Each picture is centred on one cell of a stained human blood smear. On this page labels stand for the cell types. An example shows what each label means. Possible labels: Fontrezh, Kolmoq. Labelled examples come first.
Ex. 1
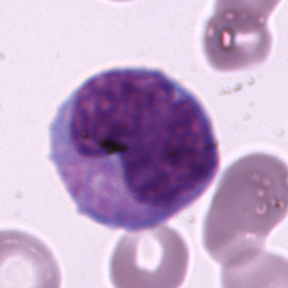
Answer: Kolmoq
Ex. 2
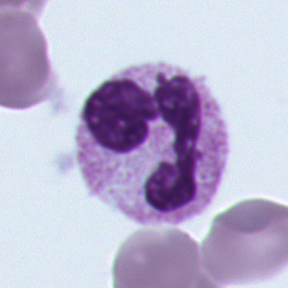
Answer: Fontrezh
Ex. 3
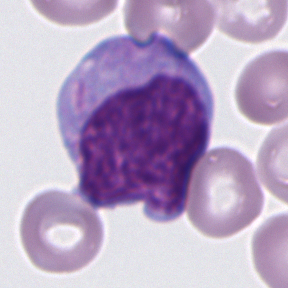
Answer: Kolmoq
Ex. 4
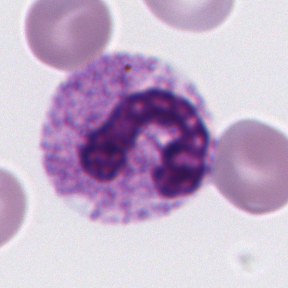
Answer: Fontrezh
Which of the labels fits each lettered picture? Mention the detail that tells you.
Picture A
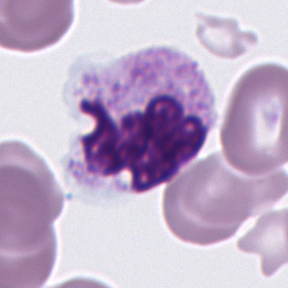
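Fontrezh. The cytoplasm is abundant and pale, with a faint grey-blue tinge at its edge.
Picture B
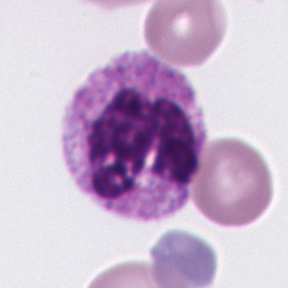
Fontrezh. The nucleus is divided into separate lobes rather than forming one mass.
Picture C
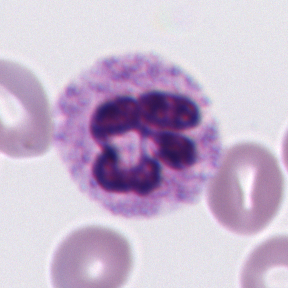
Fontrezh. The nucleus is divided into four separate lobes.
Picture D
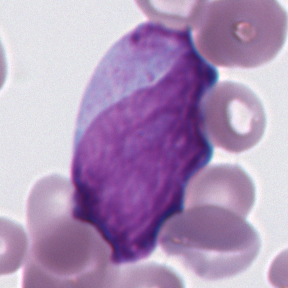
Kolmoq. The nucleus fills most of the cell.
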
